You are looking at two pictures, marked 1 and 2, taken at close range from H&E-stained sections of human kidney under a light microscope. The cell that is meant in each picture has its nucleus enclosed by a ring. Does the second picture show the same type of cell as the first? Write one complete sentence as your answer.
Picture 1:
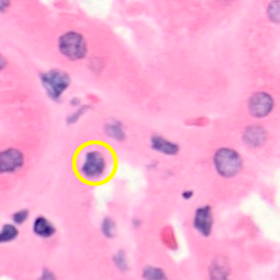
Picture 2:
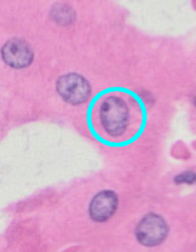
No, they differ: the cell is a “loop of Henle or distal tubule cell” in picture 1 and a proximal tubule cell in picture 2.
